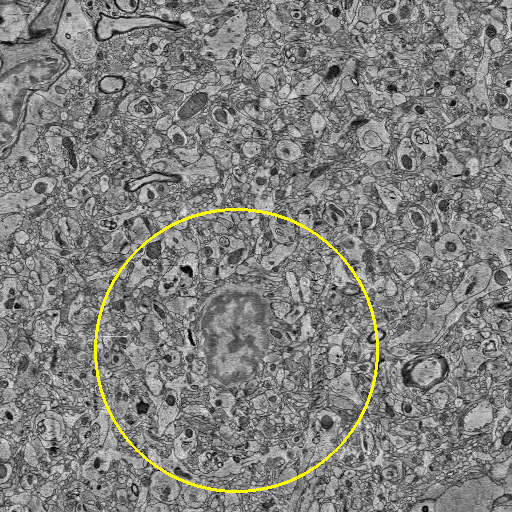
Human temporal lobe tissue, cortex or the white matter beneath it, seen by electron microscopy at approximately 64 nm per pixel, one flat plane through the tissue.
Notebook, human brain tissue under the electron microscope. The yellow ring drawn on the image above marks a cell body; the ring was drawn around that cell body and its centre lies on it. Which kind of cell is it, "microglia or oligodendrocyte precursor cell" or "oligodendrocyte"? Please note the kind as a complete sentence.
The marked cell body is that of an oligodendrocyte.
